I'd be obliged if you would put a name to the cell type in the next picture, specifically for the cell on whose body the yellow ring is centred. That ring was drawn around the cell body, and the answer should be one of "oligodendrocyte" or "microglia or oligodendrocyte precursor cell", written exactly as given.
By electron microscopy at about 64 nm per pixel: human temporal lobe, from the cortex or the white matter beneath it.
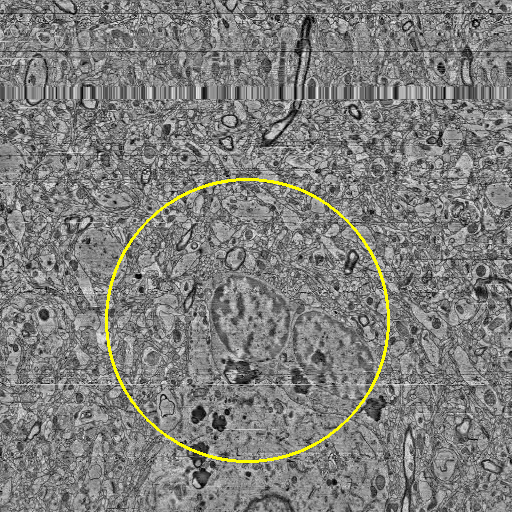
oligodendrocyte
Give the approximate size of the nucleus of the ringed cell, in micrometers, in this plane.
Approximately 6 by 5 micrometers in this plane.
